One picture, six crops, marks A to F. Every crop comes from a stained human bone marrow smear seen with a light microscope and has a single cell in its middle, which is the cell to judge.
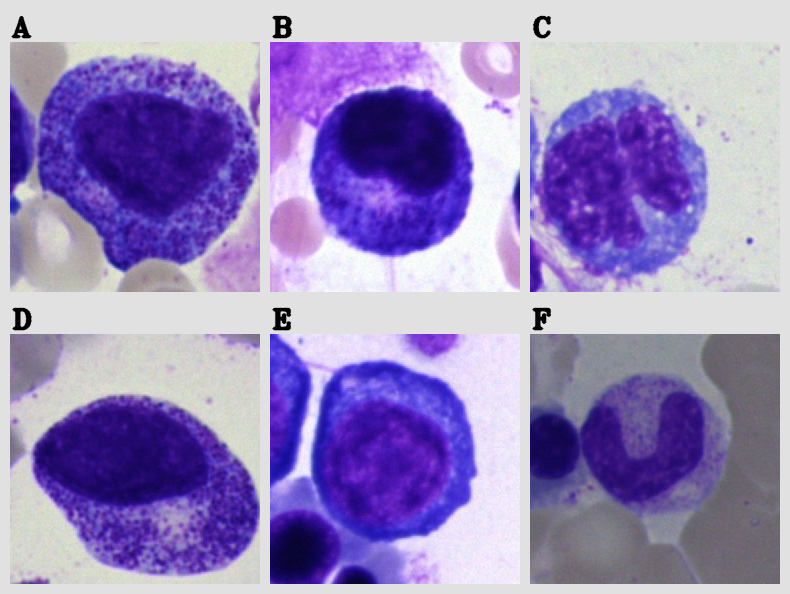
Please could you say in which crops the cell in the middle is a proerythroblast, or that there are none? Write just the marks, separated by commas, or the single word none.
E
